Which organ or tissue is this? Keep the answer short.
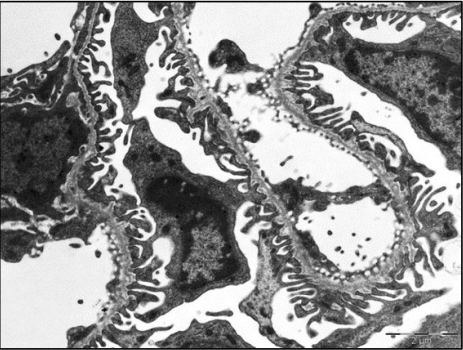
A: Kidneys.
